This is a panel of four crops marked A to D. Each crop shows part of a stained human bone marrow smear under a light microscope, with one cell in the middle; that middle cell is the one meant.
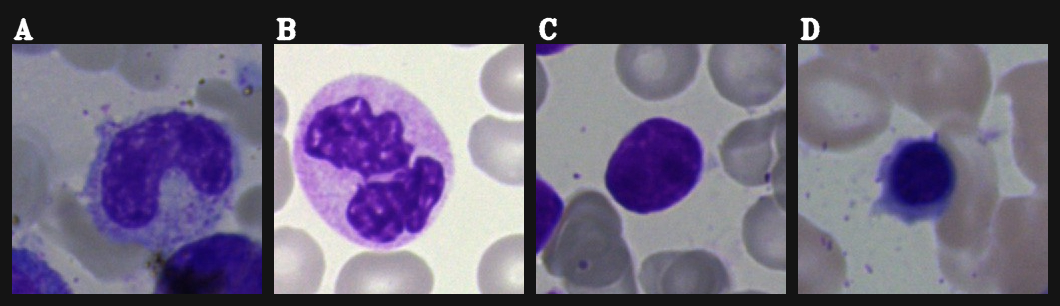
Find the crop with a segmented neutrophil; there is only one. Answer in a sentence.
Within this set, crop B is the one with a segmented neutrophil at its center.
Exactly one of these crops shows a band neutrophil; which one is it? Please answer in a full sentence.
Crop A is the crop containing a band neutrophil.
